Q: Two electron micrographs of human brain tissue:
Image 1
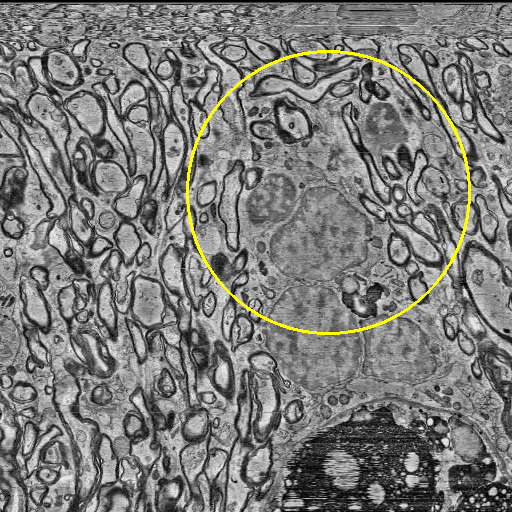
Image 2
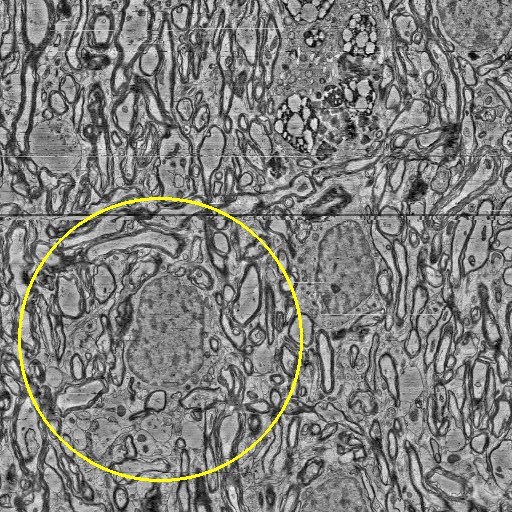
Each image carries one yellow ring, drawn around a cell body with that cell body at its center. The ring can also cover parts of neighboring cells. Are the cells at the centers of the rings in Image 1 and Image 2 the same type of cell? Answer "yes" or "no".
yes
